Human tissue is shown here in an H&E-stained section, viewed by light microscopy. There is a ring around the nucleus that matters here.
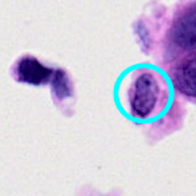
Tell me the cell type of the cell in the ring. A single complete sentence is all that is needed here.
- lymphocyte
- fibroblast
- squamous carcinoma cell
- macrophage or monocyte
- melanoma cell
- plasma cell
In short, the cell in the ring on this section is a macrophage or monocyte.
